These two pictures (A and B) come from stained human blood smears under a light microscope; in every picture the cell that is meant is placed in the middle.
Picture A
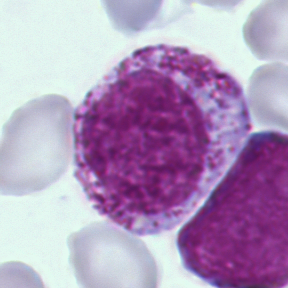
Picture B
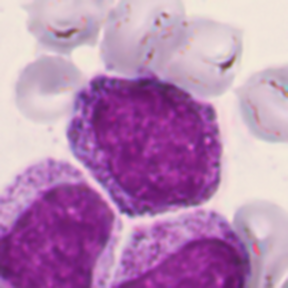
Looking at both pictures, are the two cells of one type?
yes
